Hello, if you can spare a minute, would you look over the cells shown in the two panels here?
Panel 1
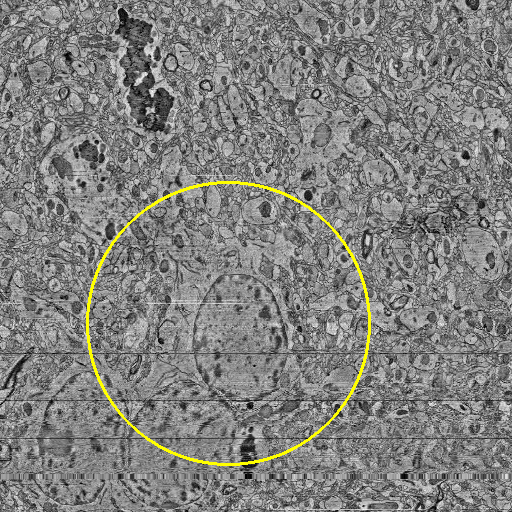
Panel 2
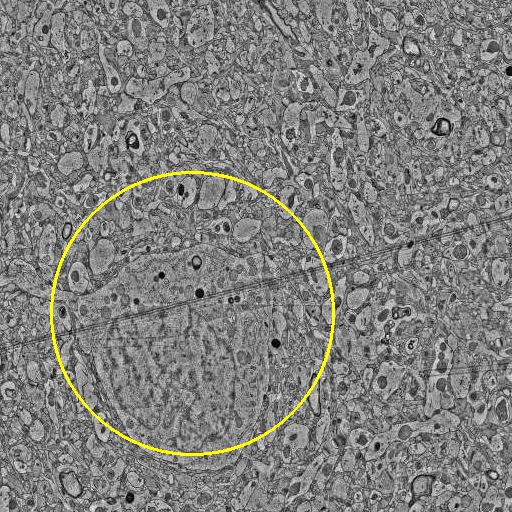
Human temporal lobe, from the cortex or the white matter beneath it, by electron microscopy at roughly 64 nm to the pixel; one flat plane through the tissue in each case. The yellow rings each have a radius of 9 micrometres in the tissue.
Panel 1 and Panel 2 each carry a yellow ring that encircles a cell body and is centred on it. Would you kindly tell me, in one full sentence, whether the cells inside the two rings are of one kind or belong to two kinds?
The cells at the centres of the rings in Panel 1 and Panel 2 belong to two kinds.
